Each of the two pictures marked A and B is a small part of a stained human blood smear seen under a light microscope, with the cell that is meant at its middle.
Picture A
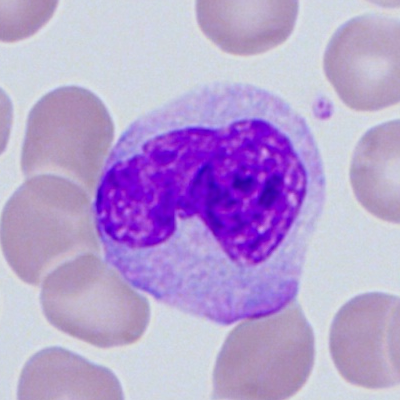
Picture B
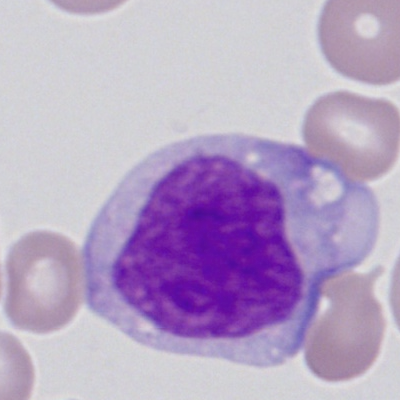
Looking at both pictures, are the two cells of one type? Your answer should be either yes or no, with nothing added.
yes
